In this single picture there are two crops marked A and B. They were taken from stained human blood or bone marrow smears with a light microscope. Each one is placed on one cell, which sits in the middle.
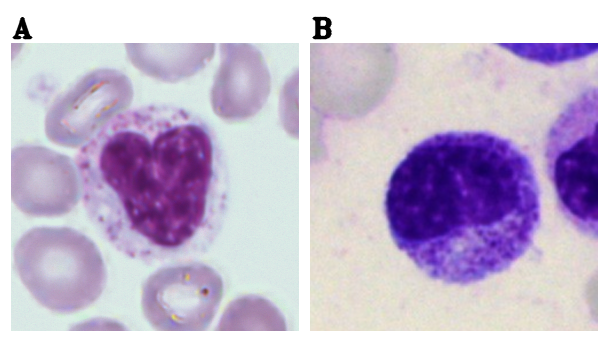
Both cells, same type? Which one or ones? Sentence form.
No, crop A has a band neutrophil in the middle, and crop B has a metamyelocyte.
